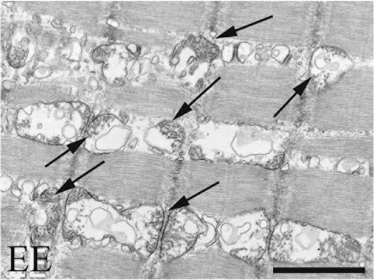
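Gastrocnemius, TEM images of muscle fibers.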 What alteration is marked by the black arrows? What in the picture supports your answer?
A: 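The arrows point to membrane-bound vacuoles lying between the myofibrils. The vacuoles hold membranous whorls and debris. Several of the structures have a double or multiple membrane outline.
Hence: autophagic changes.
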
